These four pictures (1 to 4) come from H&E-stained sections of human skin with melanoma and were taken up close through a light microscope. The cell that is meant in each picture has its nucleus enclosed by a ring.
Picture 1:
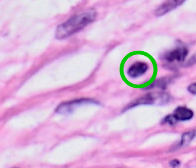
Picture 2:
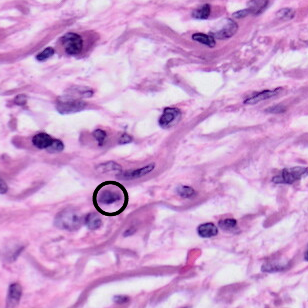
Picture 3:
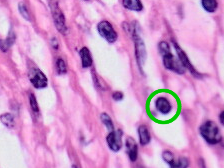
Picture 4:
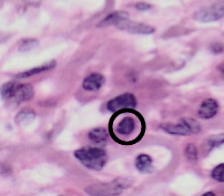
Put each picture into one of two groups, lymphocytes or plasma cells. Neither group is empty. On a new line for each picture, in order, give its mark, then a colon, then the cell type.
1: lymphocyte
2: plasma cell
3: lymphocyte
4: plasma cell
